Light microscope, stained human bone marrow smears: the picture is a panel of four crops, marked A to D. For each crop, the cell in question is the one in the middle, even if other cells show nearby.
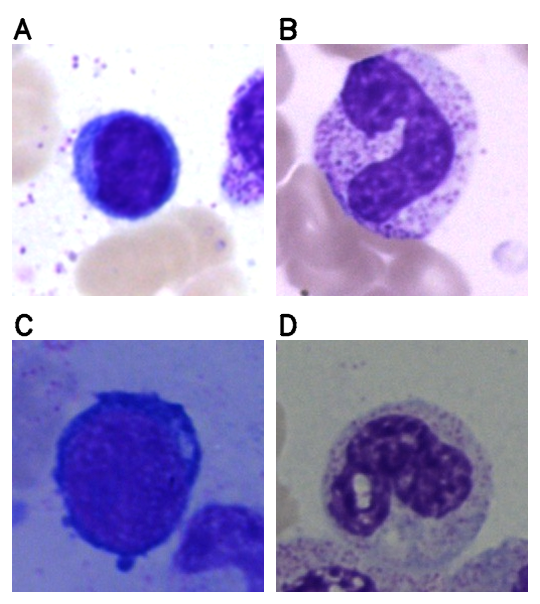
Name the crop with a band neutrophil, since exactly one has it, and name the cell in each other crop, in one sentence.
Crop B should be logged as a band neutrophil, while crop A is a lymphocyte, crop C is a proerythroblast and crop D is a segmented neutrophil.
